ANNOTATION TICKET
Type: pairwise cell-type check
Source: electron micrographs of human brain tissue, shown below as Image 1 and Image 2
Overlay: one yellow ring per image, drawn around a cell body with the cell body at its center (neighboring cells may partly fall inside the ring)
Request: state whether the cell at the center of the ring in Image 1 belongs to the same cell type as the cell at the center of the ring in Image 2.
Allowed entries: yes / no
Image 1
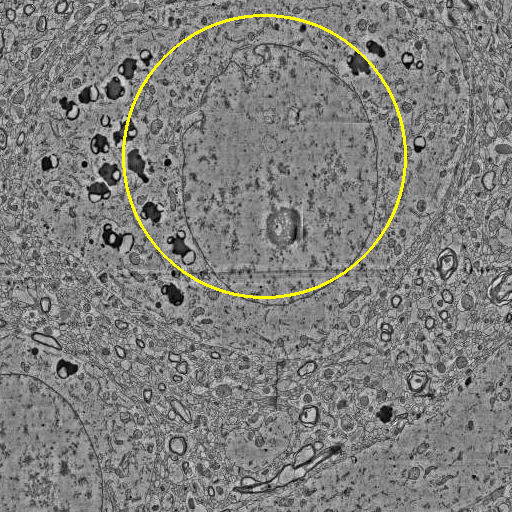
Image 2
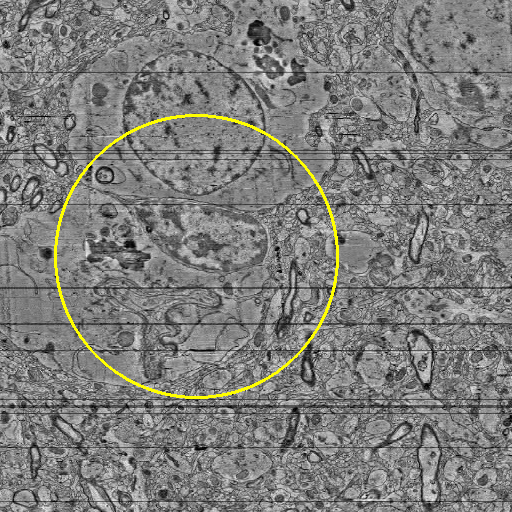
no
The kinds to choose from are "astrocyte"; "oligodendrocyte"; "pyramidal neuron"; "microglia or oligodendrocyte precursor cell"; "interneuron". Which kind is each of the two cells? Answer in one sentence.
Of the two, the first cell is a pyramidal neuron and the second cell is a microglial cell or oligodendrocyte precursor cell.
